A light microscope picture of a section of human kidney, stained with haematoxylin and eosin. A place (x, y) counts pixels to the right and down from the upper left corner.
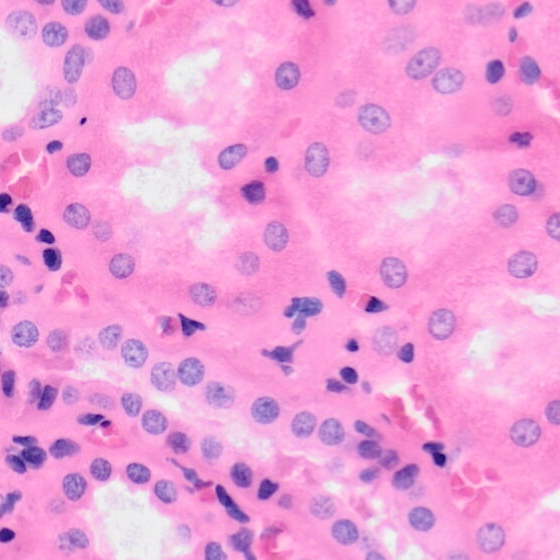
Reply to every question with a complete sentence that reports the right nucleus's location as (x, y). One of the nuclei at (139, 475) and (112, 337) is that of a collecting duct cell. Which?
The nucleus at (112, 337) is the one that belongs to a collecting duct cell.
